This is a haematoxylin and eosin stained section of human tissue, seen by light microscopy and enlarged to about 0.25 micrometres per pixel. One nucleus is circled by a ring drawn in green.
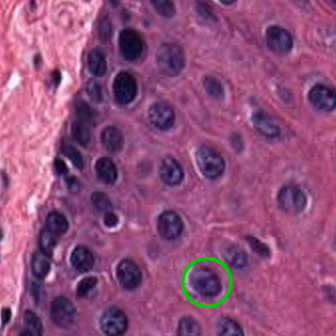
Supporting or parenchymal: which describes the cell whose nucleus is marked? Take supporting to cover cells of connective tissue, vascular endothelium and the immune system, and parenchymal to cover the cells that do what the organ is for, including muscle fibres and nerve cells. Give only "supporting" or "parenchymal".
parenchymal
